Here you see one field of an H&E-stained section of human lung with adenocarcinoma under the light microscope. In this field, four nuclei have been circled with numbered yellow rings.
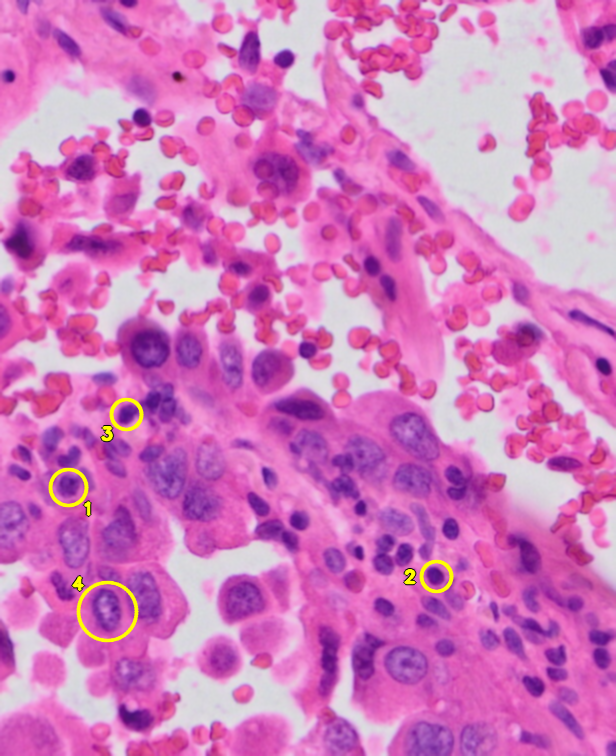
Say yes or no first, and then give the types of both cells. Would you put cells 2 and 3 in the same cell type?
Yes, both are lymphocytes.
